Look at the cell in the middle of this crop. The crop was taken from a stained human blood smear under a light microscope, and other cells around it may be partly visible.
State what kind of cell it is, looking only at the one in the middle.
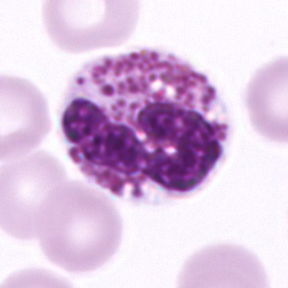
eosinophil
